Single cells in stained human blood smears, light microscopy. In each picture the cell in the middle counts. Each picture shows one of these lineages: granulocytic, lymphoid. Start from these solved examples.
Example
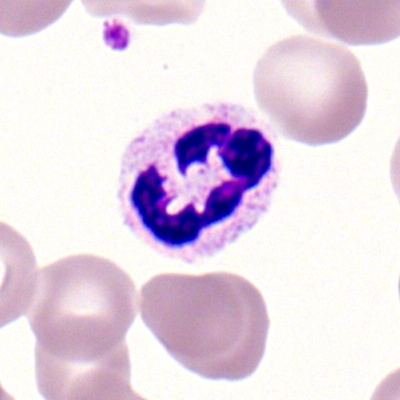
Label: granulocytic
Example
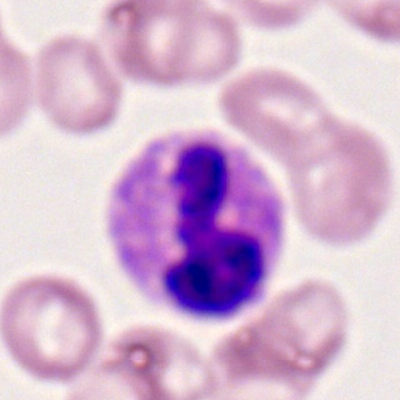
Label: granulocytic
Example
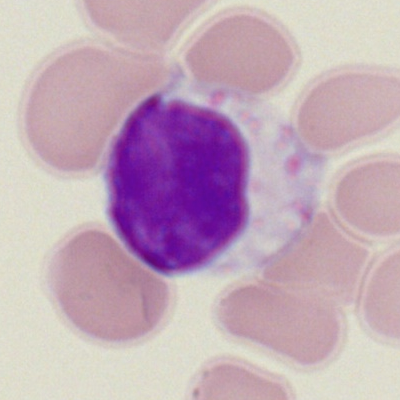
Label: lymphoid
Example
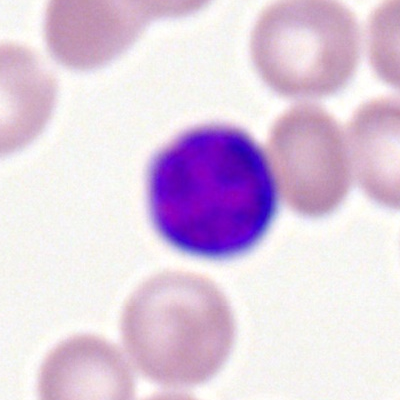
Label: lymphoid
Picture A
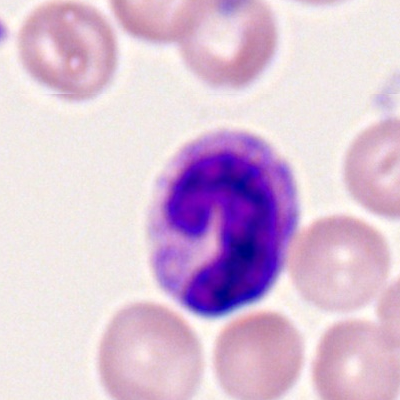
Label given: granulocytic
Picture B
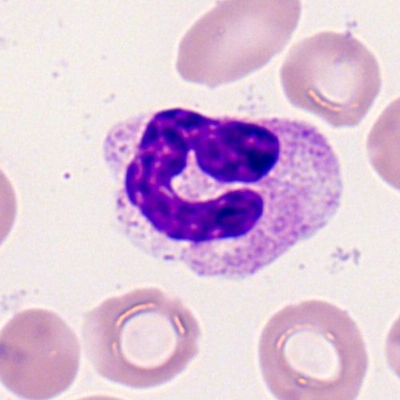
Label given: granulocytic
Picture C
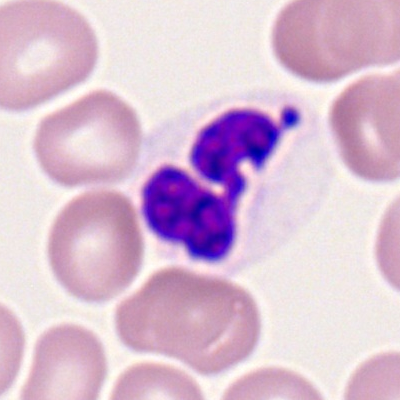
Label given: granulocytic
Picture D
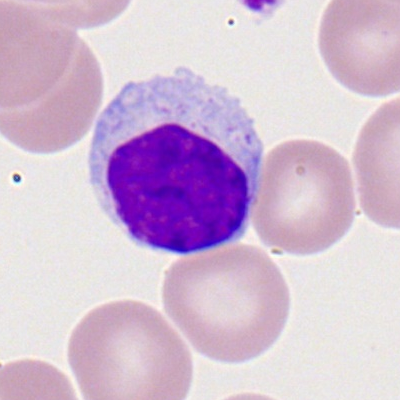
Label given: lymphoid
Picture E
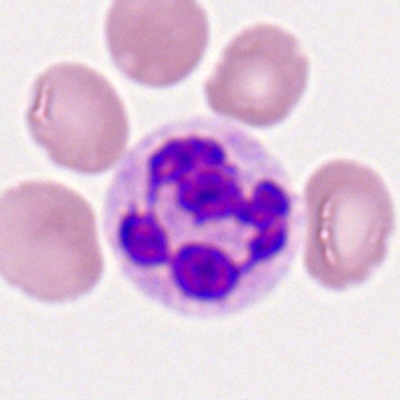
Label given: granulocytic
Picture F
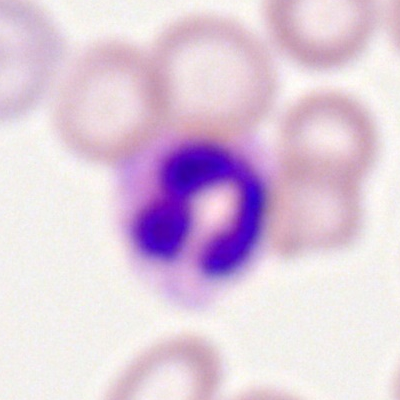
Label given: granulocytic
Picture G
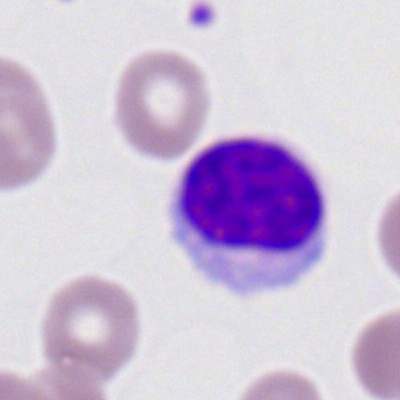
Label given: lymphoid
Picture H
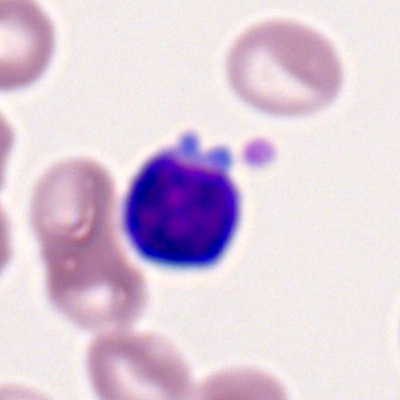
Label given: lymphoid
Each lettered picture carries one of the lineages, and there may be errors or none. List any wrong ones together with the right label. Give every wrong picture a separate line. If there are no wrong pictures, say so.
All labels are correct.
